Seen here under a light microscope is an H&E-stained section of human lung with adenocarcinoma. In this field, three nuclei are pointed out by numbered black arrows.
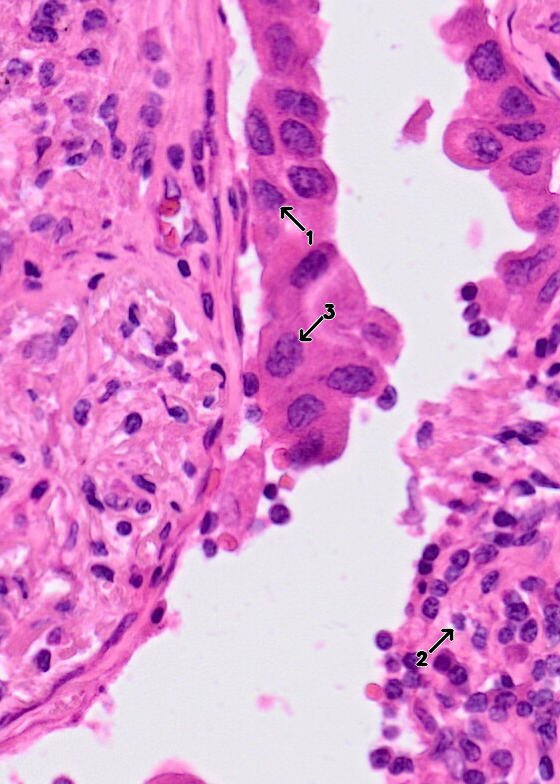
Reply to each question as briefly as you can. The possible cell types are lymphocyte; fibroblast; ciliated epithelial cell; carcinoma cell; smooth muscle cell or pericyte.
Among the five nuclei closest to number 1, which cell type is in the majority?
fibroblast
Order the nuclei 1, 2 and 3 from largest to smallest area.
3, 1, 2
